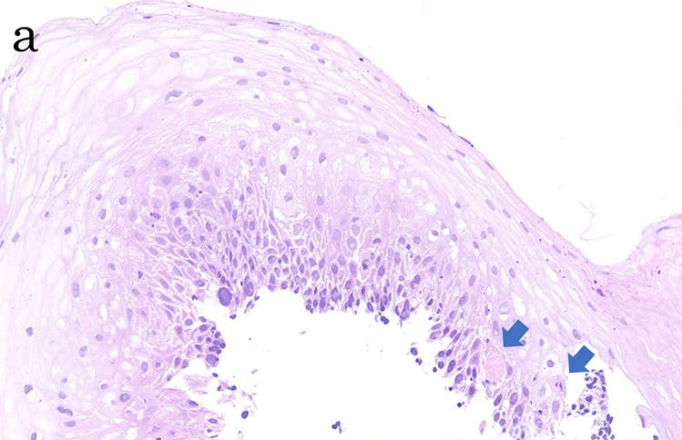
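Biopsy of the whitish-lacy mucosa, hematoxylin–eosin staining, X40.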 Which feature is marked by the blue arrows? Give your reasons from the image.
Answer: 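The arrows point to rounded pale-pink bodies in the lowest part of the squamous epithelium. The bodies lie among loosened basal cells at the lower edge of the epithelium. On this evidence: Civatte bodies.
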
